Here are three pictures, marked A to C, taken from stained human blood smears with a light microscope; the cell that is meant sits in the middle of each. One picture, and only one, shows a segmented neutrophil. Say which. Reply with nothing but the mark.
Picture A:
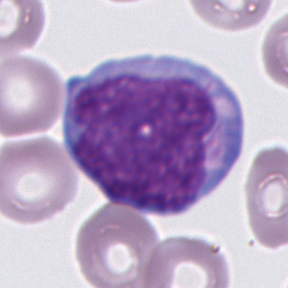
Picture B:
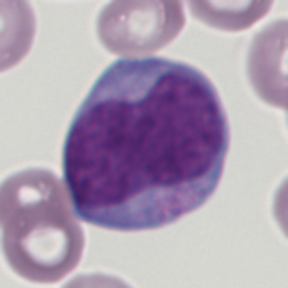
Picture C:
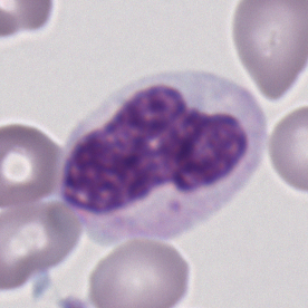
C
